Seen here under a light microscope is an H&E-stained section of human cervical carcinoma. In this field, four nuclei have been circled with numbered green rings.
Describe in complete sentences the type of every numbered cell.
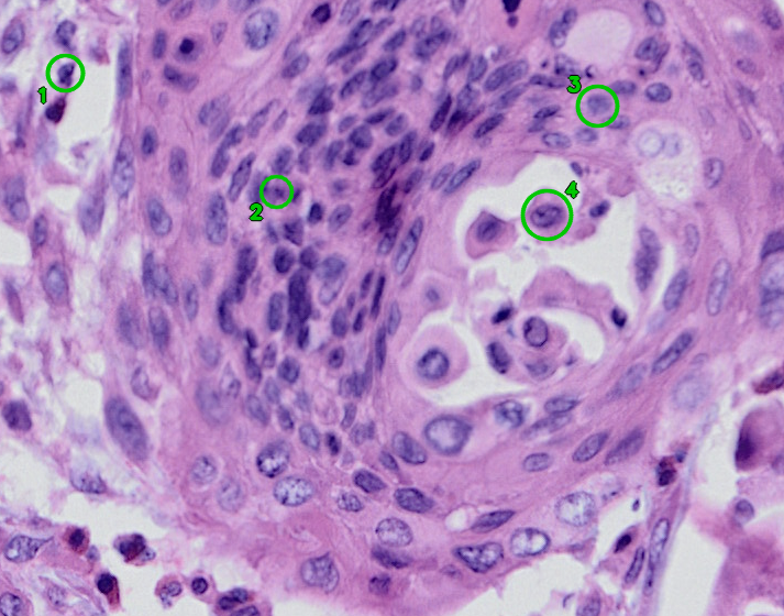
Cell 1 is a lymphocyte, cell 2 is a squamous carcinoma cell, cell 3 is a squamous carcinoma cell and cell 4 is a squamous carcinoma cell.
